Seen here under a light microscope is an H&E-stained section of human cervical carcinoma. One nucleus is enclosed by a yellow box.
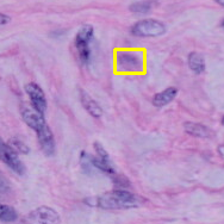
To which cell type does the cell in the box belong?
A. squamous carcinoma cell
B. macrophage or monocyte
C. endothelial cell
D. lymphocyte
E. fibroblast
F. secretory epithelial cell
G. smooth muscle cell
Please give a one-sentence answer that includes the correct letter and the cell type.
Option G is the correct one, since the cell in the box is a smooth muscle cell.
